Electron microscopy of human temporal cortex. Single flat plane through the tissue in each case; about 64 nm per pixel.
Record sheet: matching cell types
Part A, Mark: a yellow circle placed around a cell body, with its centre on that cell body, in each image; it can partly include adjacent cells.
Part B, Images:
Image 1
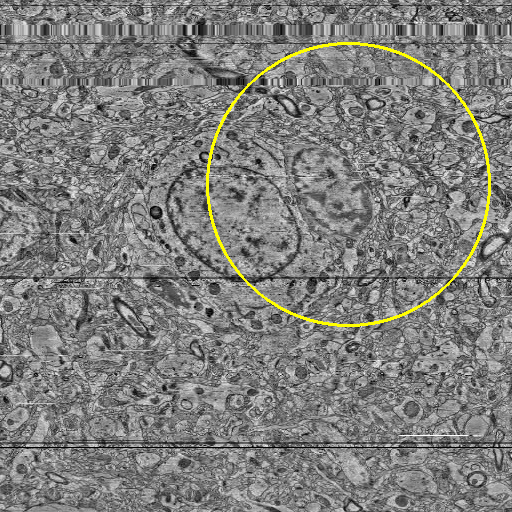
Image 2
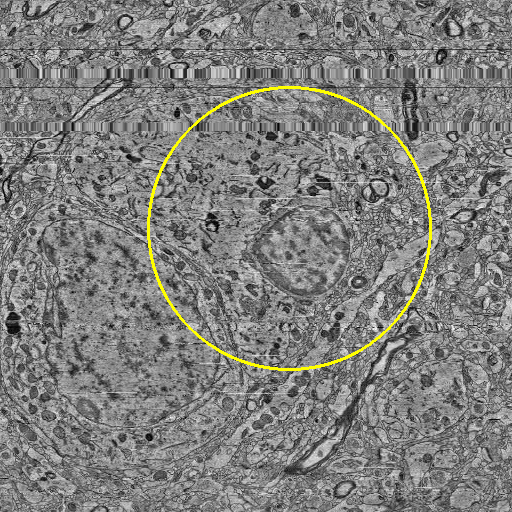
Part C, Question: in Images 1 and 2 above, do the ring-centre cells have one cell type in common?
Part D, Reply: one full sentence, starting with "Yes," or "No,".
Yes, the ring-centre cells of Image 1 and Image 2 are both of a single cell type.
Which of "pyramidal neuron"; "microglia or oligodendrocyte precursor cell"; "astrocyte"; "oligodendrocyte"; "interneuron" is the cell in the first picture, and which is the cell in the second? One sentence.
Each cell at the centre of a ring is an oligodendrocyte.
